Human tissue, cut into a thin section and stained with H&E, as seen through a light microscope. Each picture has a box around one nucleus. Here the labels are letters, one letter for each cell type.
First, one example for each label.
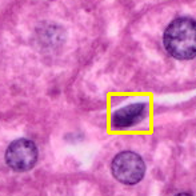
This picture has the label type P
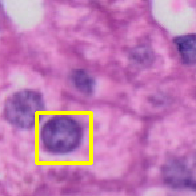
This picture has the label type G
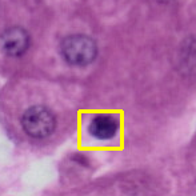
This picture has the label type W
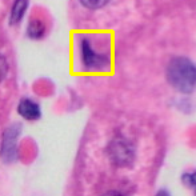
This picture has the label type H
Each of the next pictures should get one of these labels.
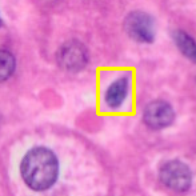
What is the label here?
type W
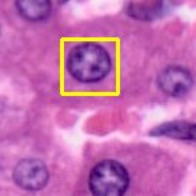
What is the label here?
type G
